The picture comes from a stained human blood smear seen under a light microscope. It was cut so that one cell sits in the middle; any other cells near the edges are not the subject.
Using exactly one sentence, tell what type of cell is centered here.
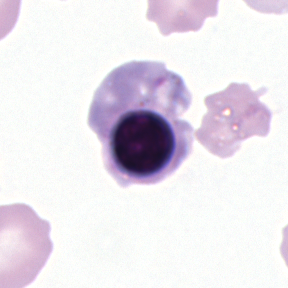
The cell centered in this field of view is an erythroblast.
